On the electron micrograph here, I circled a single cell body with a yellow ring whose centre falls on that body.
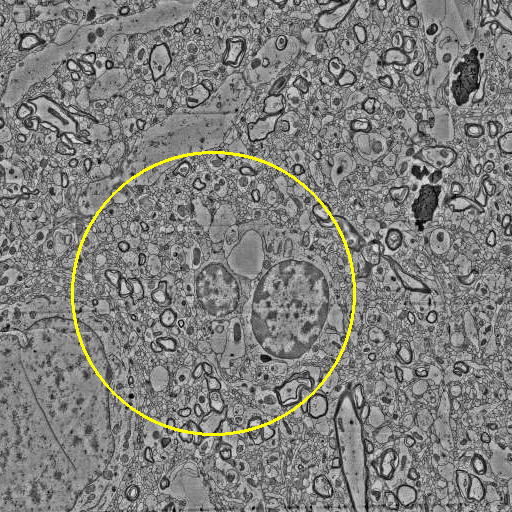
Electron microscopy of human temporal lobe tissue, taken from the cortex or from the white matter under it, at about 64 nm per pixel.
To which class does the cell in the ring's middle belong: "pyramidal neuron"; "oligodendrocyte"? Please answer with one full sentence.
In this picture, the cell body circled at the ring's centre belongs to an oligodendrocyte.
